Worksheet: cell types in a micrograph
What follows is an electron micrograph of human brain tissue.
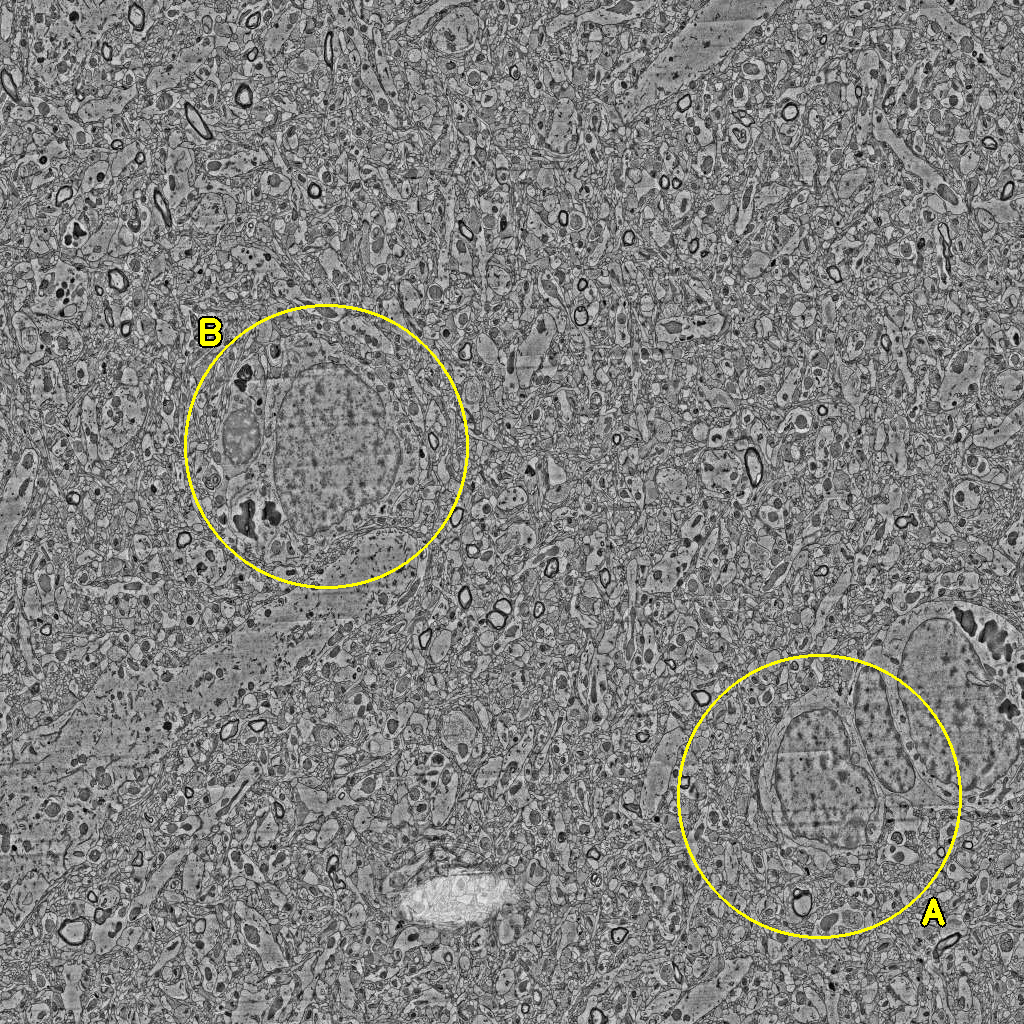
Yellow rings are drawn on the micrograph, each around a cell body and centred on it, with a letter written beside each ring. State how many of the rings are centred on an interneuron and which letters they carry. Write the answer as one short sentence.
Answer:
The two rings accompanied by the letters A and B each have an interneuron as their centre.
